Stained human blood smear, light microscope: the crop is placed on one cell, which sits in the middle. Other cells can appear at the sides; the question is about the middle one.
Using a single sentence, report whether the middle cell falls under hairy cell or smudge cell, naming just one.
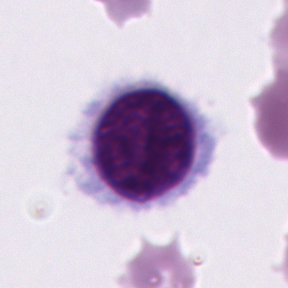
In the central position of this crop, the cell is a hairy cell.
